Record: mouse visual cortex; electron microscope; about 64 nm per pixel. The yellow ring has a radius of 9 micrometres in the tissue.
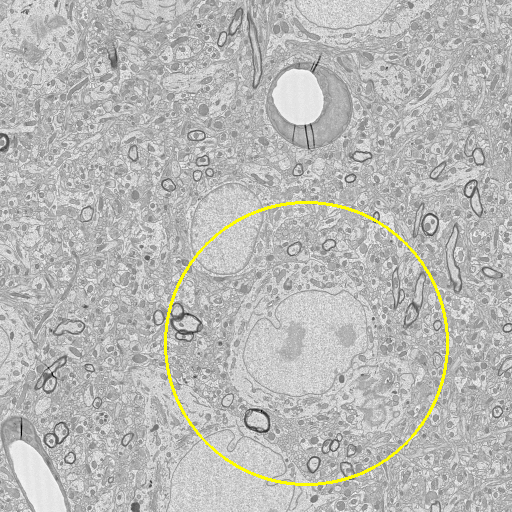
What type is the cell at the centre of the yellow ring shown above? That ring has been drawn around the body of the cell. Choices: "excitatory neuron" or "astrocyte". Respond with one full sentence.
My answer is that an excitatory neuron lies at the centre of the yellow ring above.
